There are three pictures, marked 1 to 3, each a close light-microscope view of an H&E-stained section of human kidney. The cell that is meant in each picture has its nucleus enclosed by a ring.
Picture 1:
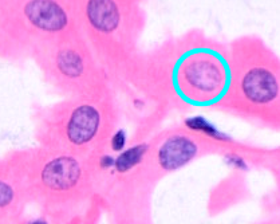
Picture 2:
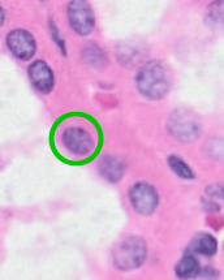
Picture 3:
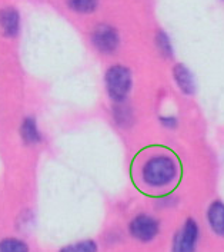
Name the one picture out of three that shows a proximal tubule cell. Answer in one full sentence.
Picture 1 is the one that shows the proximal tubule cell.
